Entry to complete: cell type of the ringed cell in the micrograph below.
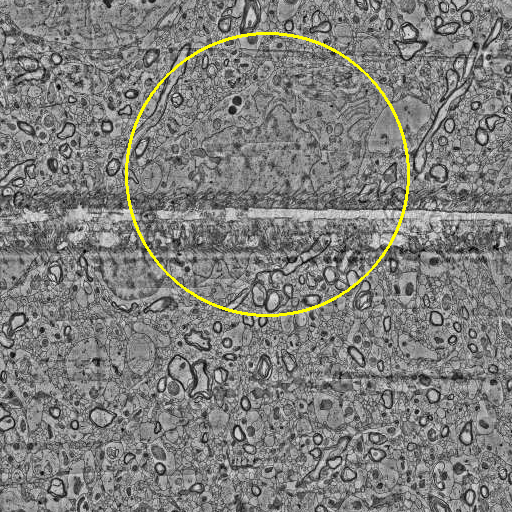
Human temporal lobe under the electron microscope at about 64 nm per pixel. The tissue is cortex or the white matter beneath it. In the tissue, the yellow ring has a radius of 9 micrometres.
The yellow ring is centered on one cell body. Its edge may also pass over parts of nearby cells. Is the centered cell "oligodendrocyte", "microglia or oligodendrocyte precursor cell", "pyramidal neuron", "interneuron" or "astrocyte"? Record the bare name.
interneuron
